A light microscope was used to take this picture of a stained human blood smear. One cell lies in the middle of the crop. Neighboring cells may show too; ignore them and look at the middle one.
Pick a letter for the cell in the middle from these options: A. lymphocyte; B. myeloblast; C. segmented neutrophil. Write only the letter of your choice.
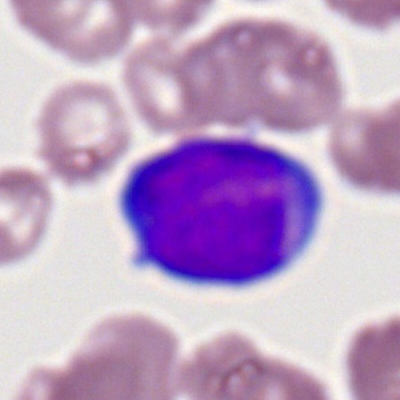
B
